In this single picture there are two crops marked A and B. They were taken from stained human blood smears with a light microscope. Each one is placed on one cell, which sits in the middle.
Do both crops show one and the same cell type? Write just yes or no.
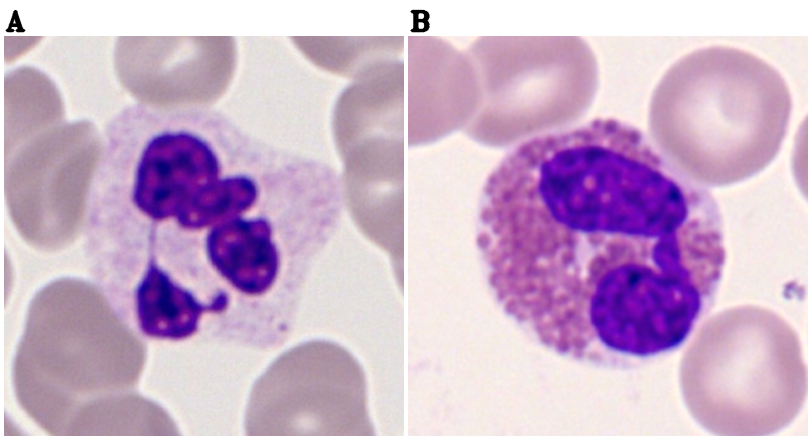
no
